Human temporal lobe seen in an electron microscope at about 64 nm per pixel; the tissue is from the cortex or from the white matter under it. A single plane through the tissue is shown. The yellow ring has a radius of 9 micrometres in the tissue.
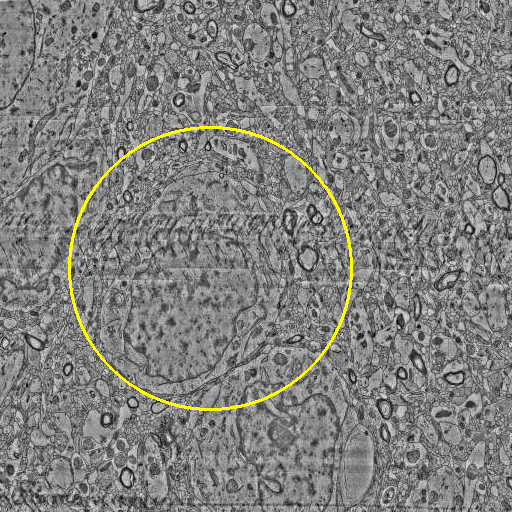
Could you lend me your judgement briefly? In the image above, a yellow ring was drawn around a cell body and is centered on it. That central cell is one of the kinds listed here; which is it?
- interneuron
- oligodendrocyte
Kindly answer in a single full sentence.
Going by the list, an interneuron is the kind at the ring's center in the picture.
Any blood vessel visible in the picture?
No.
